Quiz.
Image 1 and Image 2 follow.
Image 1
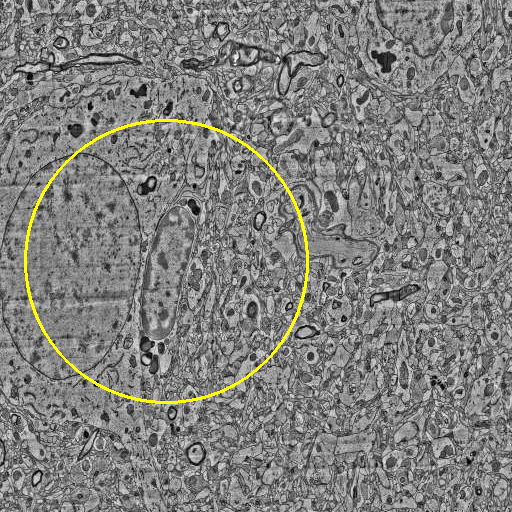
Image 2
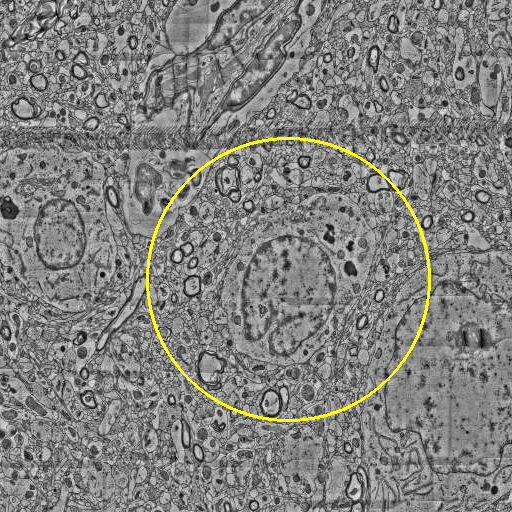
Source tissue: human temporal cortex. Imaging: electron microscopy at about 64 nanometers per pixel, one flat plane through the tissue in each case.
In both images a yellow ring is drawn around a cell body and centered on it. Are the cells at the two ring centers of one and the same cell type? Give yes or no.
no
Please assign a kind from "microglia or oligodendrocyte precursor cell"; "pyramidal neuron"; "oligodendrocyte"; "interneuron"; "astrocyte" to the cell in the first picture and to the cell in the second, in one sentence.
In the first picture we have a microglial cell or oligodendrocyte precursor cell, and in the second, an interneuron.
